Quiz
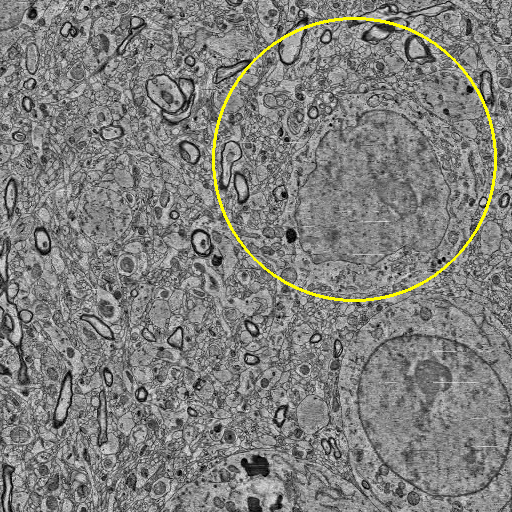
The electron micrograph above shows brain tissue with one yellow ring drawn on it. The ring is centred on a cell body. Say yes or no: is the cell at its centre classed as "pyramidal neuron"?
no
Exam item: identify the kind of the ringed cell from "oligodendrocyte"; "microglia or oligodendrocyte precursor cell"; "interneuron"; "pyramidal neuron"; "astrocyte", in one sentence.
The ringed cell in this picture is, instead, an interneuron.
